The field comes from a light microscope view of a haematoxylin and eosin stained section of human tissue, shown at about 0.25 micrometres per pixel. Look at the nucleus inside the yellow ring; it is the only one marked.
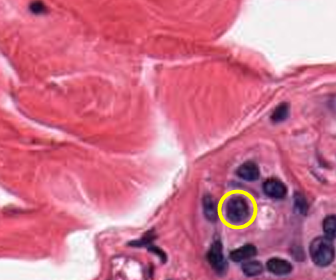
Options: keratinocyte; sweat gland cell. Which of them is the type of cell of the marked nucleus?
sweat gland cell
